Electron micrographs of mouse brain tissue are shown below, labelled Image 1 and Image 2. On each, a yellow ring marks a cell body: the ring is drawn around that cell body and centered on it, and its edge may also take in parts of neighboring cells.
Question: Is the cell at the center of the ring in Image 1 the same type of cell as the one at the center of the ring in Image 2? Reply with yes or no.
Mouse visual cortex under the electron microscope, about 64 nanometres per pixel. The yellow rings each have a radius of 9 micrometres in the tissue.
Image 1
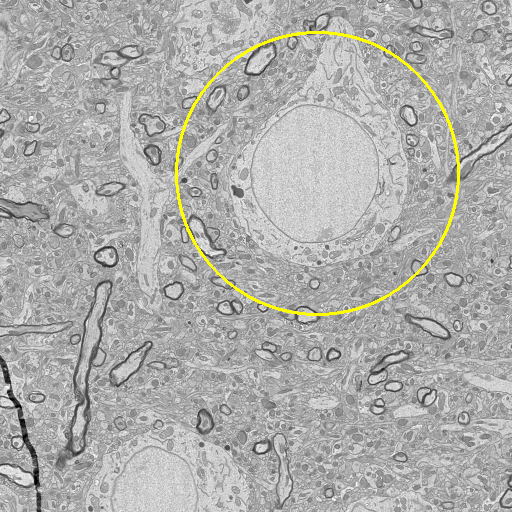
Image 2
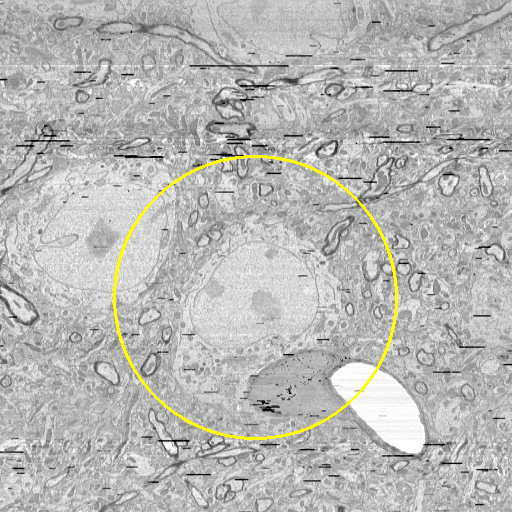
yes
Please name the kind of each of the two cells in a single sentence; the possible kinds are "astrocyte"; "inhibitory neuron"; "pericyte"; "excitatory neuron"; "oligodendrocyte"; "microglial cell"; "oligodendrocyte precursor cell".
Each of the ringed cells, first and second, is an excitatory neuron.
